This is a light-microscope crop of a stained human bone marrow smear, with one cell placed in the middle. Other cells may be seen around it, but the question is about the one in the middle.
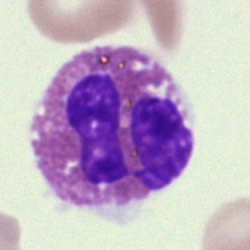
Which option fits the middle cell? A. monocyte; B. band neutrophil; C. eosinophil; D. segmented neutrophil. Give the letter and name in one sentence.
Option C is correct; the cell in the middle is an eosinophil.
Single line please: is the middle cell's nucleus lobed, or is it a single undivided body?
One defining trait here is a nucleus of two or more segments.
